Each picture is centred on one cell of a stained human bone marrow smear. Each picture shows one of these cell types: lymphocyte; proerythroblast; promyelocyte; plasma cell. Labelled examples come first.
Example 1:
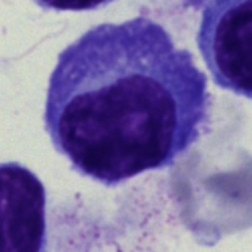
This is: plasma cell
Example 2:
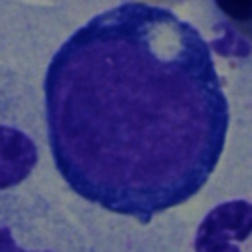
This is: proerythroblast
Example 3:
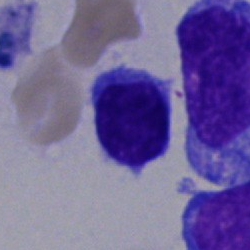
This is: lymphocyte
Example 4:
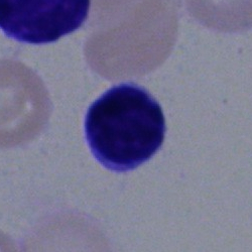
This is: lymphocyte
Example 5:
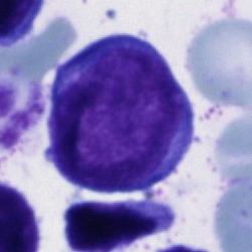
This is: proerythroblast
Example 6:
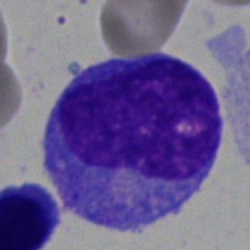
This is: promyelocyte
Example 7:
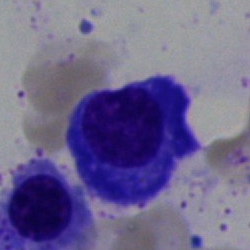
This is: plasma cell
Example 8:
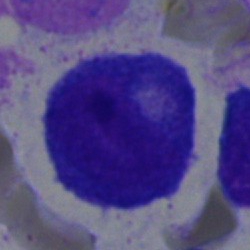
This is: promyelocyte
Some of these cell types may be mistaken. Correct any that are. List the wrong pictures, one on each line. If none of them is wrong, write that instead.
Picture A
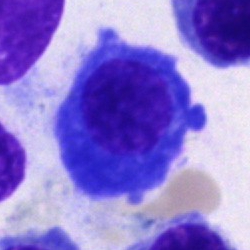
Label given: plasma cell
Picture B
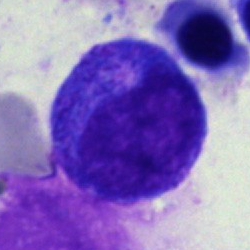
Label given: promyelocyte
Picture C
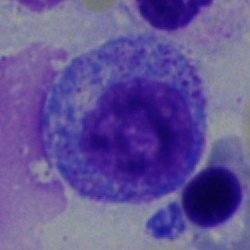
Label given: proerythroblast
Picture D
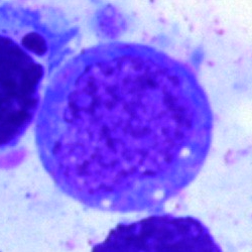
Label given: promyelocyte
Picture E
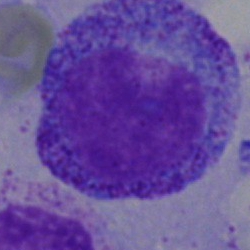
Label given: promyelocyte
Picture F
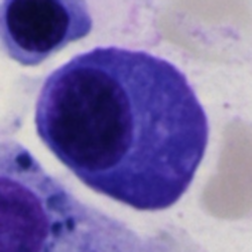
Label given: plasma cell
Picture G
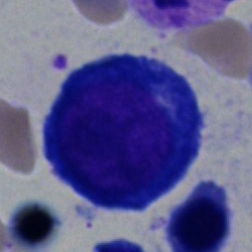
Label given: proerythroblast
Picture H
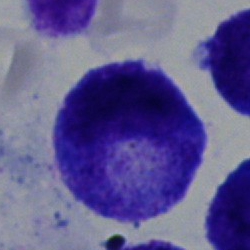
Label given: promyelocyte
C should be promyelocyte, not proerythroblast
